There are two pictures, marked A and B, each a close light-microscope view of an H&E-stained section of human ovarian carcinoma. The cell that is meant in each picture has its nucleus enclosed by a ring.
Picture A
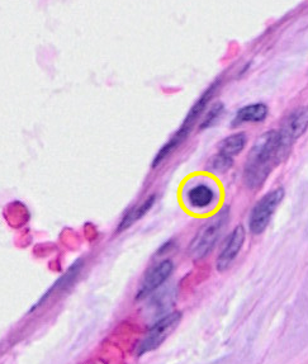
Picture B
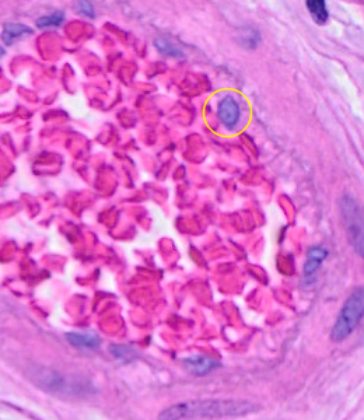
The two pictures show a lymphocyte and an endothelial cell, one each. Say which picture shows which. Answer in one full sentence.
In picture A the cell is a lymphocyte; in picture B, an endothelial cell.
